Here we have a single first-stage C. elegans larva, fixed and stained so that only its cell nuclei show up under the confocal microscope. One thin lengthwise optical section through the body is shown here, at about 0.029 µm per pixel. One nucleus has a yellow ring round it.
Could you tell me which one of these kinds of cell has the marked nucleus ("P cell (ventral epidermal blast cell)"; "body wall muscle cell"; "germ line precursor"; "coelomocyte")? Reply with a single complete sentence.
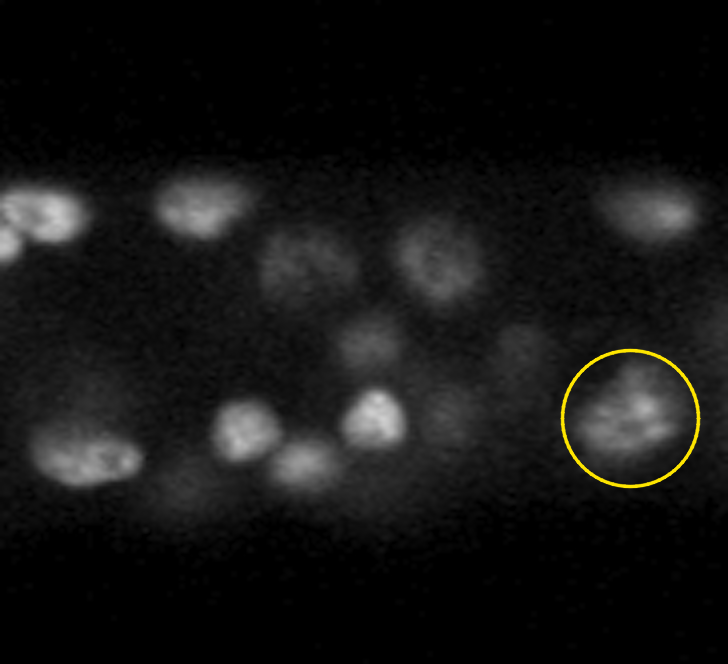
This is the nucleus of a germ line precursor.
